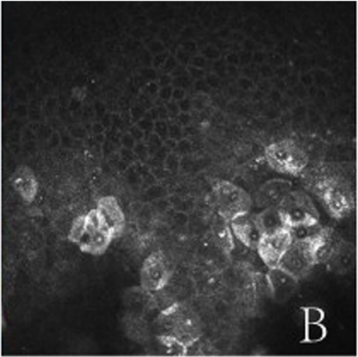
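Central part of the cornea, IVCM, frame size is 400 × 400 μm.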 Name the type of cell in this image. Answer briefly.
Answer: Superficial polygonal cells.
